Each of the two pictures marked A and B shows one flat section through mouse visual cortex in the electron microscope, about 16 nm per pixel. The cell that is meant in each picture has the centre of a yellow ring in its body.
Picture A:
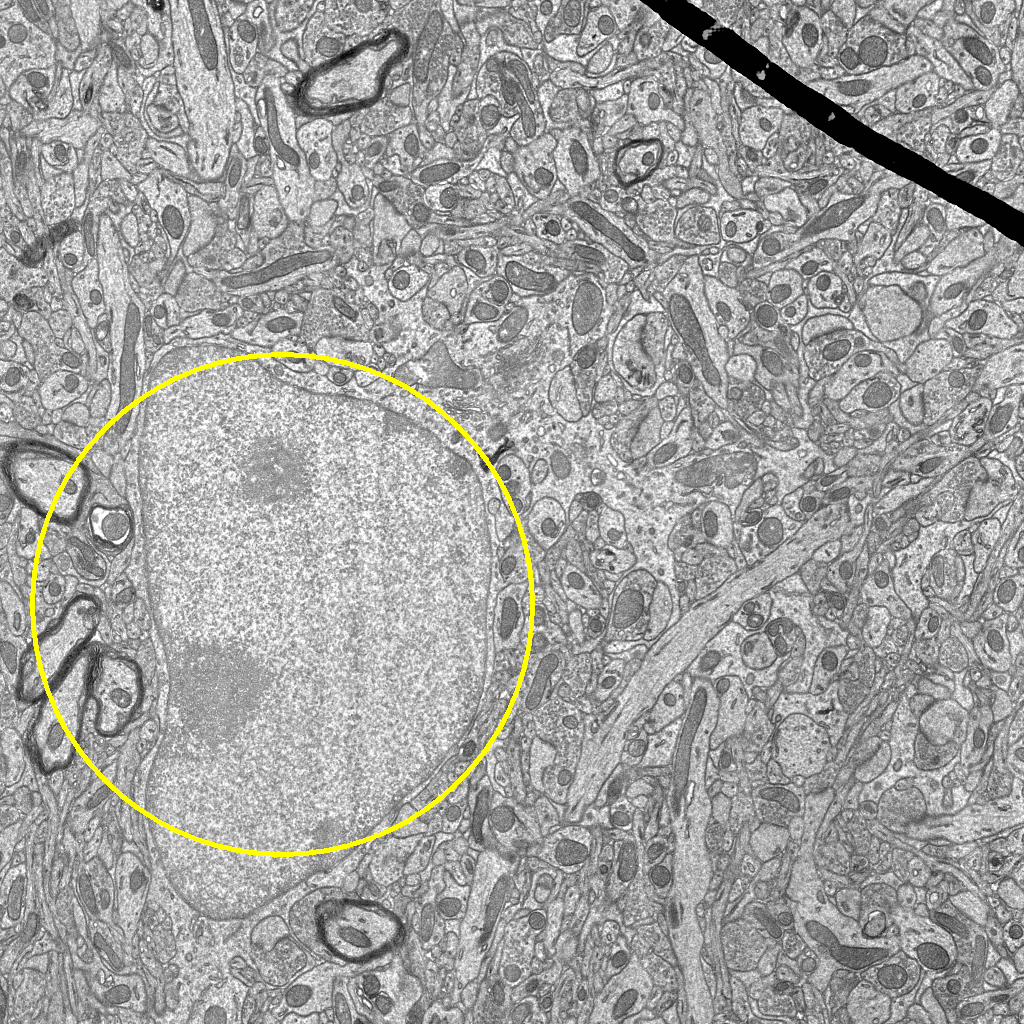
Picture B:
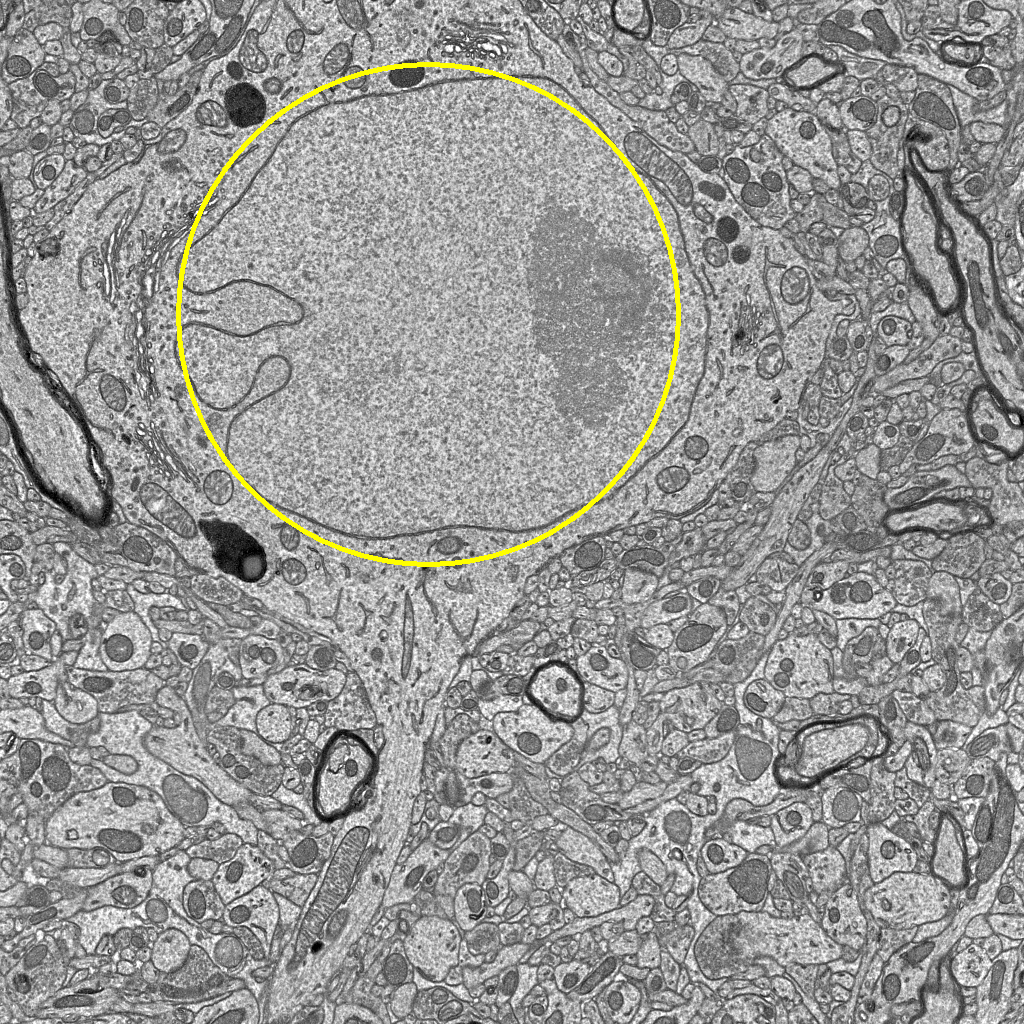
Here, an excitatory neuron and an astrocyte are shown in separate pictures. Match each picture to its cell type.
Picture A shows an astrocyte and picture B shows an excitatory neuron.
